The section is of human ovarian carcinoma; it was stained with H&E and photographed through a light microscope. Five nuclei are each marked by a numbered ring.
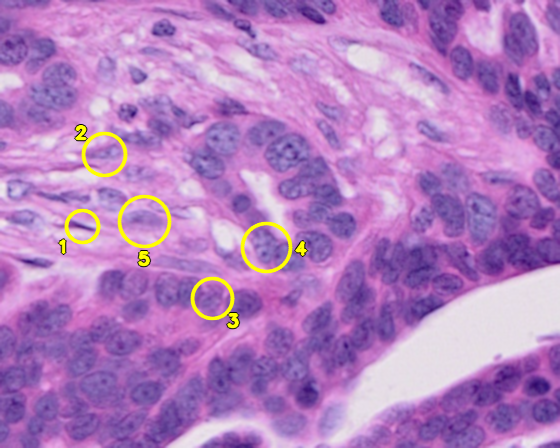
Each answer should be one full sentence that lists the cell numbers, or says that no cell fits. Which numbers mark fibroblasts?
The cells with the numbers 1, 2 and 5 are fibroblasts.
